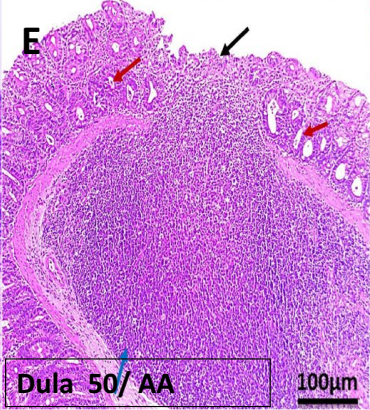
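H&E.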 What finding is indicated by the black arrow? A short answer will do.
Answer: Focal ulceration.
